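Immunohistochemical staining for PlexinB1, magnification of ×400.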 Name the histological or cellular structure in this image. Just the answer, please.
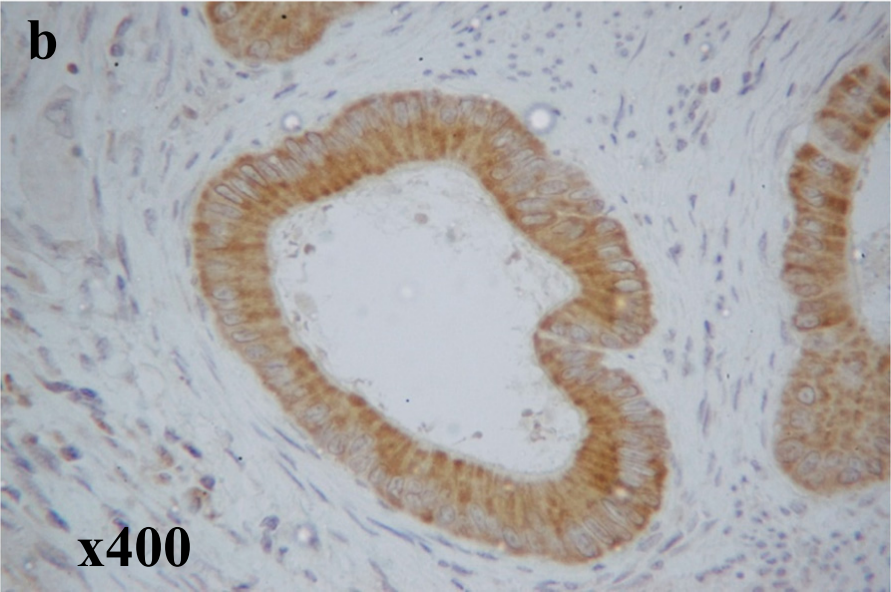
Tumor gland.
